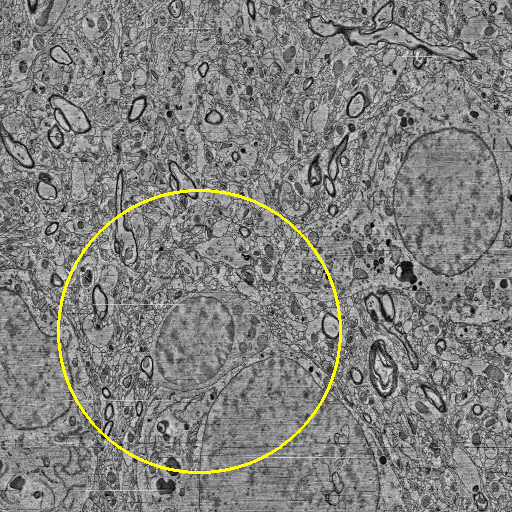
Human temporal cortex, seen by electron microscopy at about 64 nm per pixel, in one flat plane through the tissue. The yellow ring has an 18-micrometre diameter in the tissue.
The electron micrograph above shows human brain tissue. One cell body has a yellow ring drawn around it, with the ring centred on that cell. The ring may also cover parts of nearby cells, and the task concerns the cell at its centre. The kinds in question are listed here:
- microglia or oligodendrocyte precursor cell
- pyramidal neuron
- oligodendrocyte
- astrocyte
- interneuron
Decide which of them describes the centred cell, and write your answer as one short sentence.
The centred cell is an oligodendrocyte.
